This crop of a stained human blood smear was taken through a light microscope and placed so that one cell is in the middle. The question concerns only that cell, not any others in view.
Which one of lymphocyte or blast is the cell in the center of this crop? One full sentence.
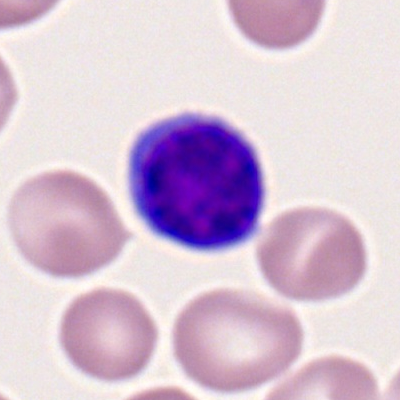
Occupying the centre of the crop is a lymphocyte.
